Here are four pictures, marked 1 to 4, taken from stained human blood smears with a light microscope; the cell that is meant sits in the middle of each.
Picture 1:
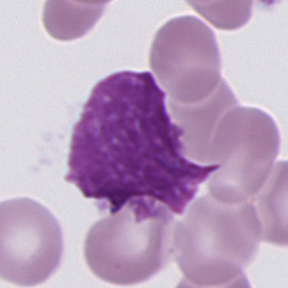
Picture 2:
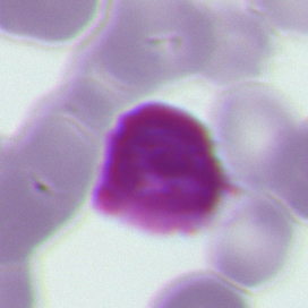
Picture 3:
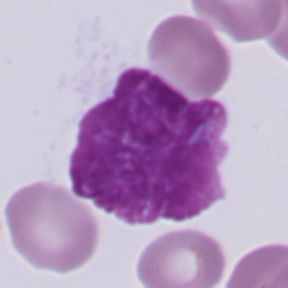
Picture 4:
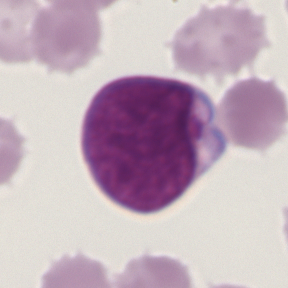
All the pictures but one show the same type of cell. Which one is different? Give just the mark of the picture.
4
